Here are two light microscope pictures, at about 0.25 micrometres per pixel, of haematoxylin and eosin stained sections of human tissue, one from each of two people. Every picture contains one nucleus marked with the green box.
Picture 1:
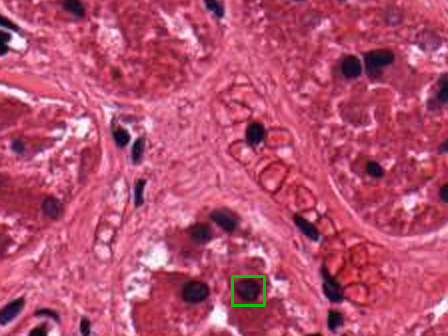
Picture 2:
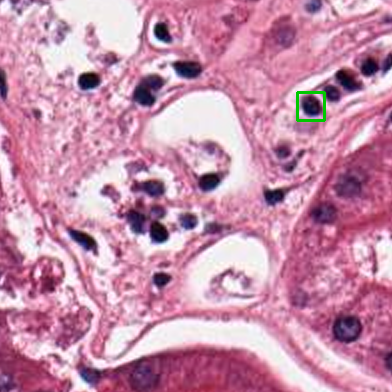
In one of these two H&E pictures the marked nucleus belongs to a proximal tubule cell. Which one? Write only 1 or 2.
1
